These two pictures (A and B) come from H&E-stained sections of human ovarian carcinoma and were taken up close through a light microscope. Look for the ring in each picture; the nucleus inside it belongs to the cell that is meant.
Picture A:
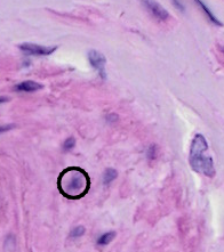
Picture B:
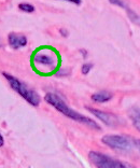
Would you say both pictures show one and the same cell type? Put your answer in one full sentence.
Yes, both are smooth muscle cells.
